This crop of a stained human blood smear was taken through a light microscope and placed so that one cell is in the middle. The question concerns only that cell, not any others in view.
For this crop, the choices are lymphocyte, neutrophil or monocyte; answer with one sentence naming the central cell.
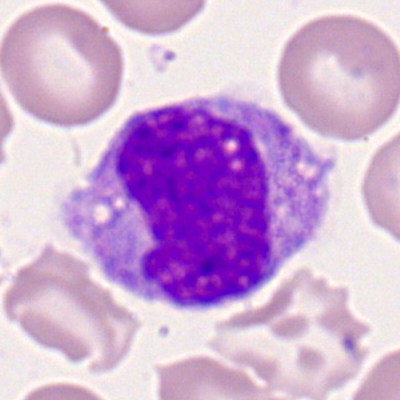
Centred in the crop is a monocyte.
